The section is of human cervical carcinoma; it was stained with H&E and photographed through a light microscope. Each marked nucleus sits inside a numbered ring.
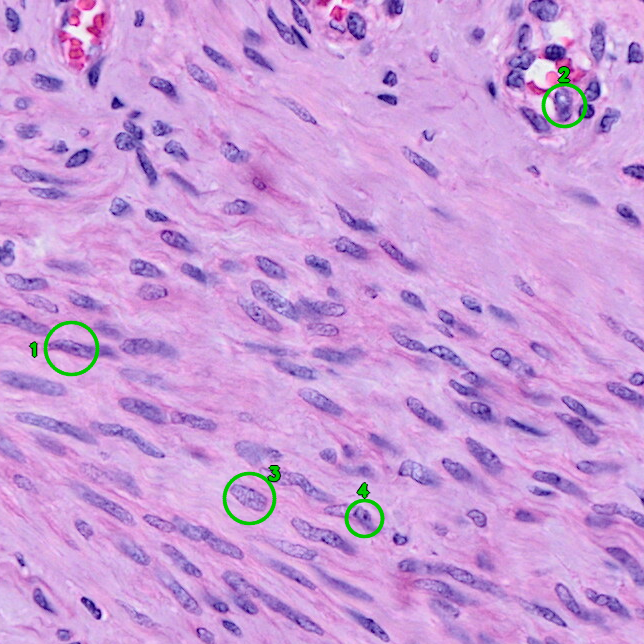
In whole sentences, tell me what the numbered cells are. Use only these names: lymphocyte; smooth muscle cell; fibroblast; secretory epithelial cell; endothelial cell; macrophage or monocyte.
Cells 1, 3 and 4 are smooth muscle cells. Cell 2 is an endothelial cell.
